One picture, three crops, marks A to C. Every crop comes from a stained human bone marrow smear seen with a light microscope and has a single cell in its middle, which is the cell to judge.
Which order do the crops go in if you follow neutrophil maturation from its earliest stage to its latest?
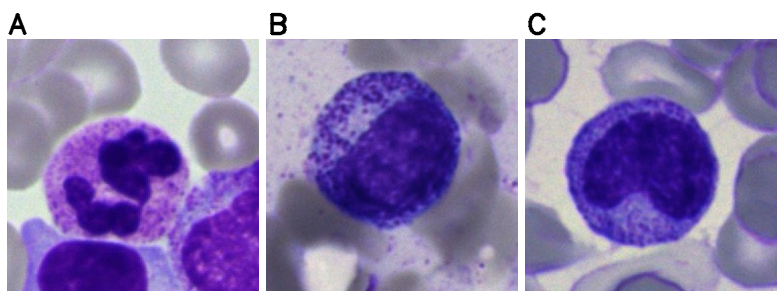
B, C, A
